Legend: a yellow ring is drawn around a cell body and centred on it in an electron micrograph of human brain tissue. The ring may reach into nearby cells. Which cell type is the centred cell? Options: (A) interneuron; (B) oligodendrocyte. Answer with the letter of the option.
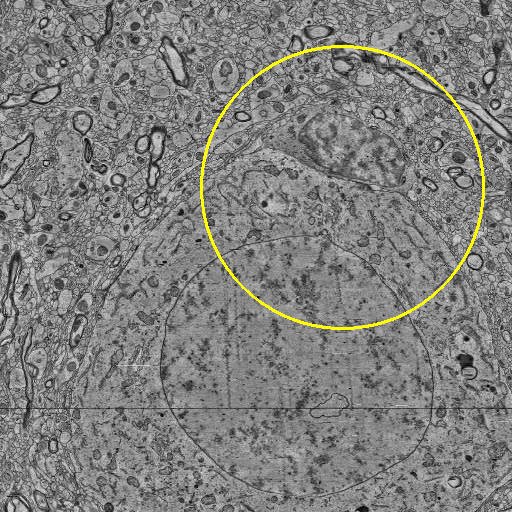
B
